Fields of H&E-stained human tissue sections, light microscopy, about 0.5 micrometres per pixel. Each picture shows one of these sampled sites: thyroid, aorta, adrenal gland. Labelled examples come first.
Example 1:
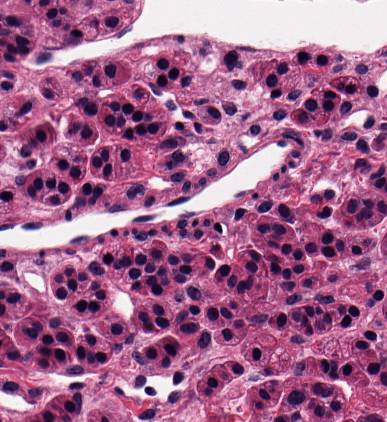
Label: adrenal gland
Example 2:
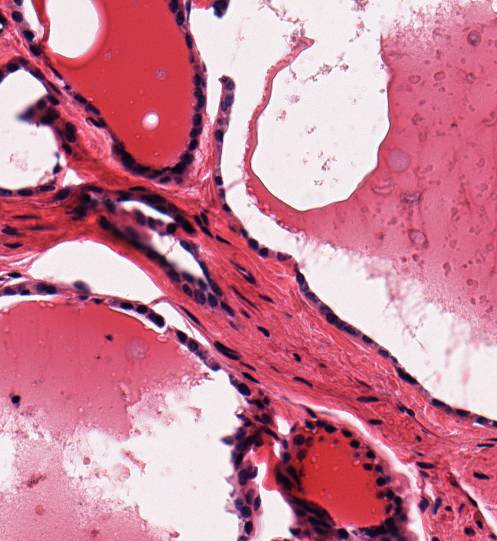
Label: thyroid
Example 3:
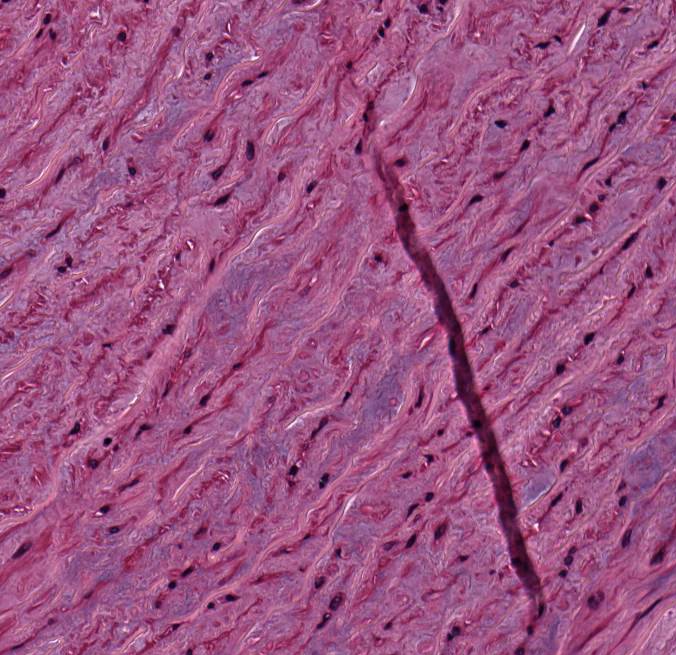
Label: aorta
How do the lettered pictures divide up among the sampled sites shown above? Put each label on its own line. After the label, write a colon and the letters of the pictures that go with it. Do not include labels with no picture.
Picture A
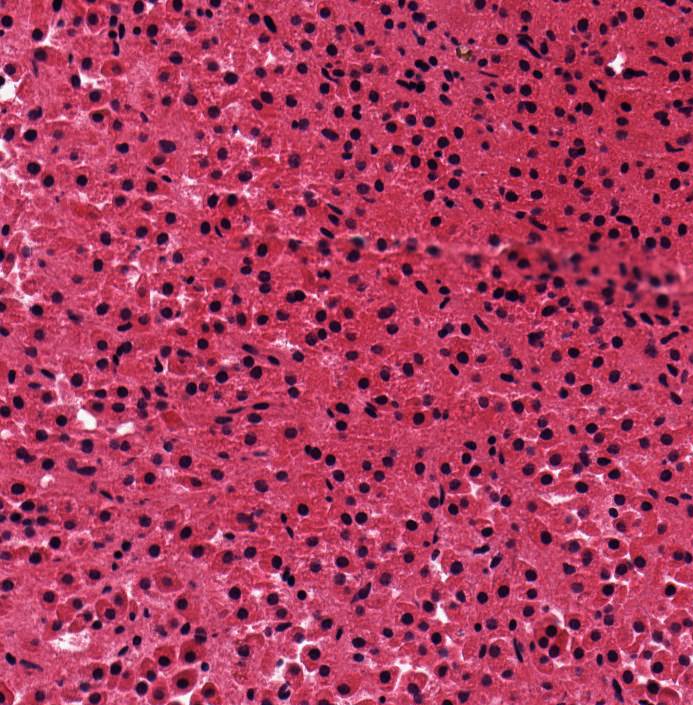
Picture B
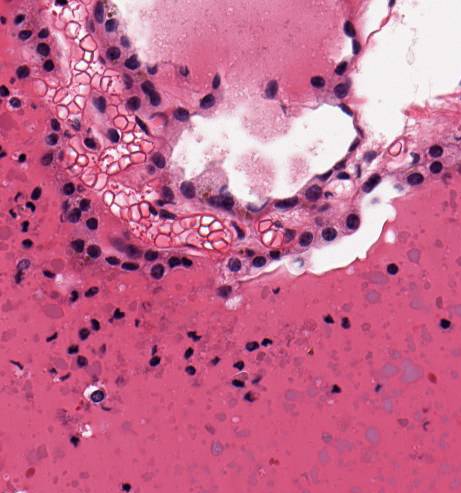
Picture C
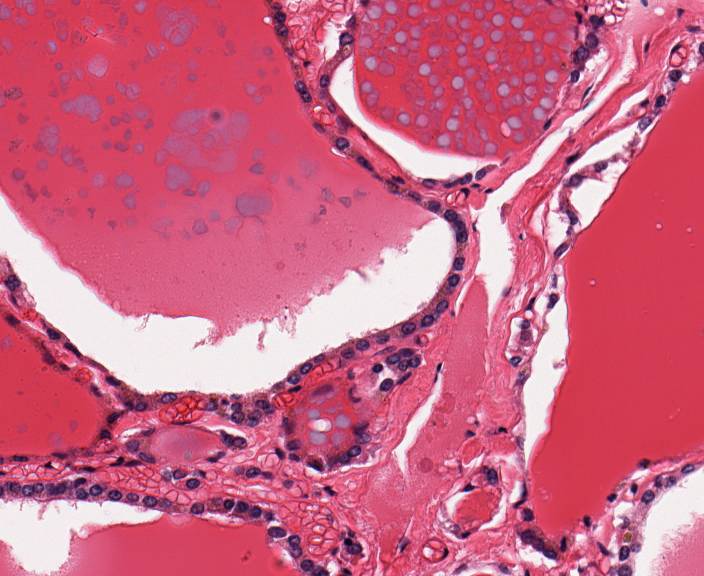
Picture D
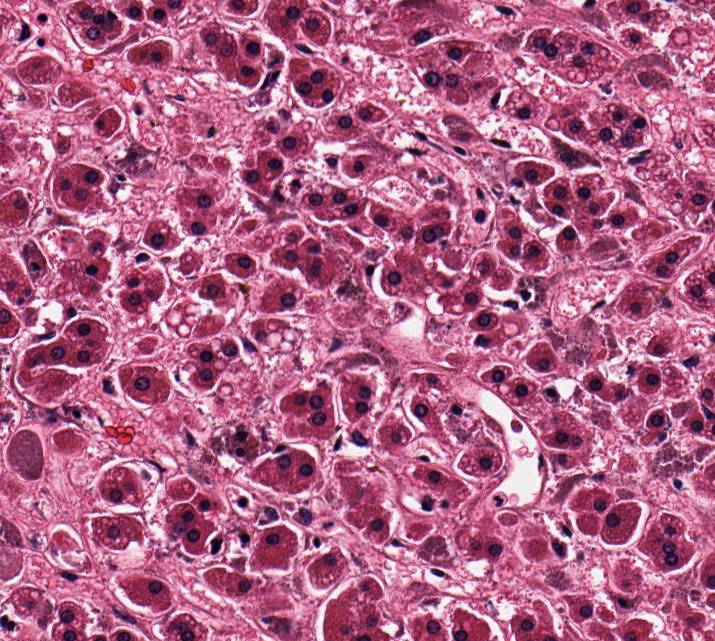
thyroid: B, C
adrenal gland: A, D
